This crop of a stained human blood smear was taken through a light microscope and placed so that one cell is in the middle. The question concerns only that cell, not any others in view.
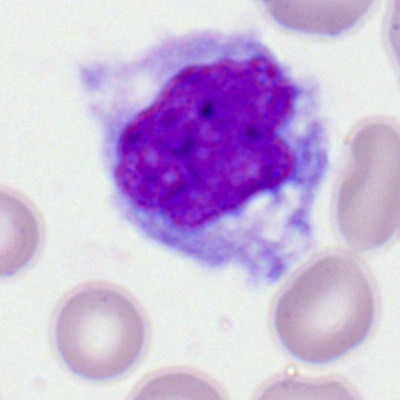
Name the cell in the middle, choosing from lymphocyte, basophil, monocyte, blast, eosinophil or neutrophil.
monocyte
